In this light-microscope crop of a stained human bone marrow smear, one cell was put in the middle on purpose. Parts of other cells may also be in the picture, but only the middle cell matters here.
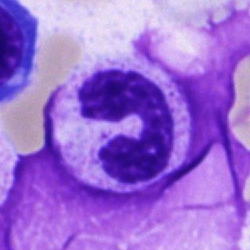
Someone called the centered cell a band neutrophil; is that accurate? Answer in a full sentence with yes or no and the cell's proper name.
Yes, the central cell here is a band neutrophil.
